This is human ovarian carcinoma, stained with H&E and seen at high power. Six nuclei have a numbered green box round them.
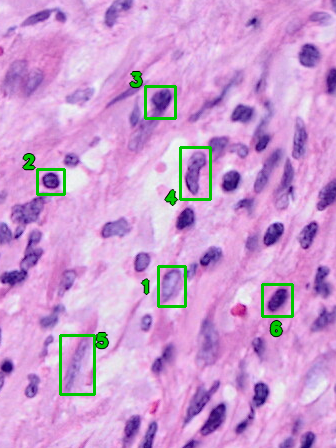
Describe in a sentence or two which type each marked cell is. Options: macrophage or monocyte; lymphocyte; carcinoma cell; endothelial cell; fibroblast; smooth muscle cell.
Cells 1 and 5 are fibroblasts. Cells 2, 3 and 6 are lymphocytes. Cell 4 is a macrophage or monocyte.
